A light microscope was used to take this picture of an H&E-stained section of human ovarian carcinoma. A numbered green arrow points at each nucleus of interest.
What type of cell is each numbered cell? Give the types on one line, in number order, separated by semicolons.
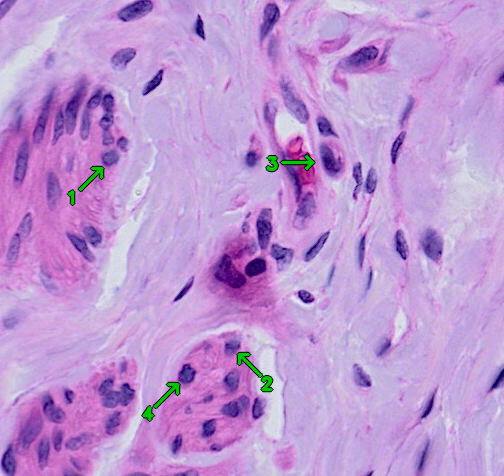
smooth muscle cell; smooth muscle cell; endothelial cell; smooth muscle cell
